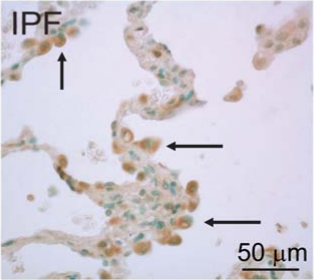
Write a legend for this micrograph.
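Fibrotic lung parenchyma with irregular air spaces bounded by alveolar walls that are thickened and crowded with cells in places. Many rounded cells lining and within the walls have brown cytoplasm around blue-green nuclei, some lying along the free edge of the walls. Brown cells cluster most densely in the thickened portion of the wall at lower centre.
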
